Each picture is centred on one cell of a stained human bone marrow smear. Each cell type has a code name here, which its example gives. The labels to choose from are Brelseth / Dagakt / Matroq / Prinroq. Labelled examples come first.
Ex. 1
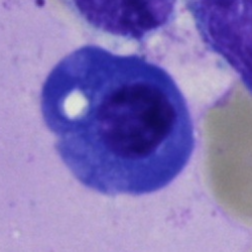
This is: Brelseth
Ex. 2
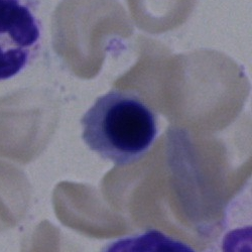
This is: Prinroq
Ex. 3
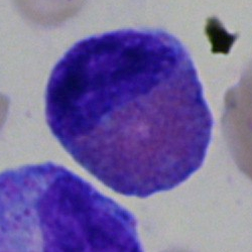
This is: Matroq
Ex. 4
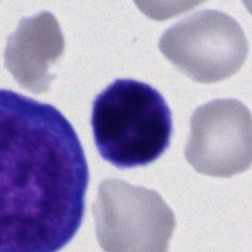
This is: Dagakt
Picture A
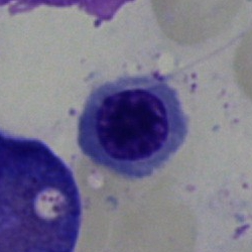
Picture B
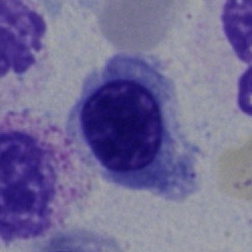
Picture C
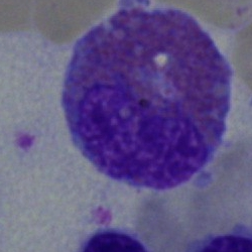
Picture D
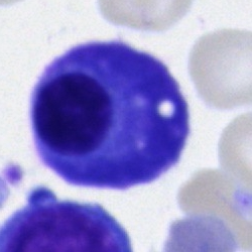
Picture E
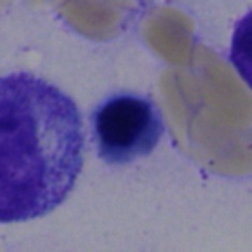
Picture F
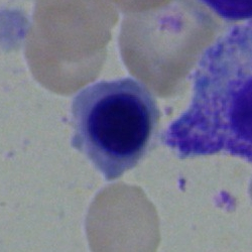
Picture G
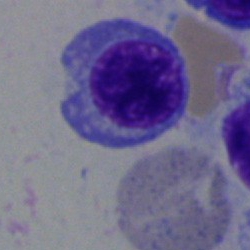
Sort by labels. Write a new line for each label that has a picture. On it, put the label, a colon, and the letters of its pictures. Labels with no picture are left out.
Brelseth: D
Matroq: C
Prinroq: A, B, E, F, G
